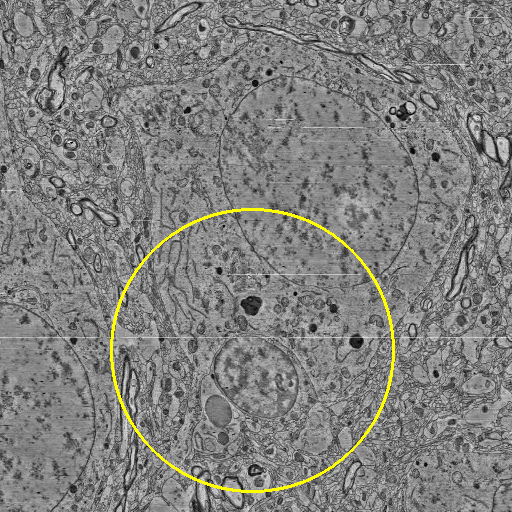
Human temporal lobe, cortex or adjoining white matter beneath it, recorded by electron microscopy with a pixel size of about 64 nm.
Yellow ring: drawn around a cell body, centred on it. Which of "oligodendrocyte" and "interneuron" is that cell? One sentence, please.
That cell body is from an oligodendrocyte.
